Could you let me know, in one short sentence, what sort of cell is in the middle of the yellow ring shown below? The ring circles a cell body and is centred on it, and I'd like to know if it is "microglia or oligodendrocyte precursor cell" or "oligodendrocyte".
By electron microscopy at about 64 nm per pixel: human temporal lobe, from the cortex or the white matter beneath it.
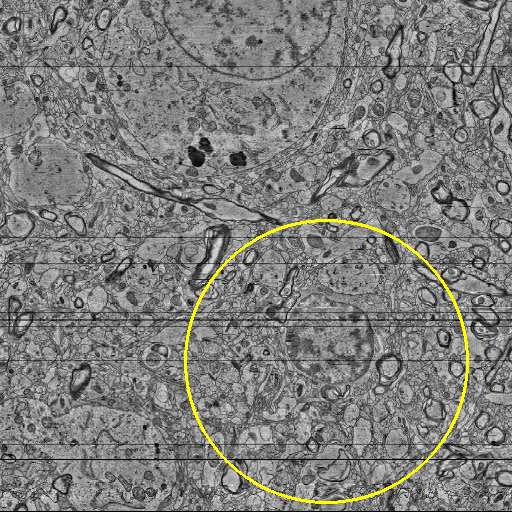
The ring circles the cell body of an oligodendrocyte.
